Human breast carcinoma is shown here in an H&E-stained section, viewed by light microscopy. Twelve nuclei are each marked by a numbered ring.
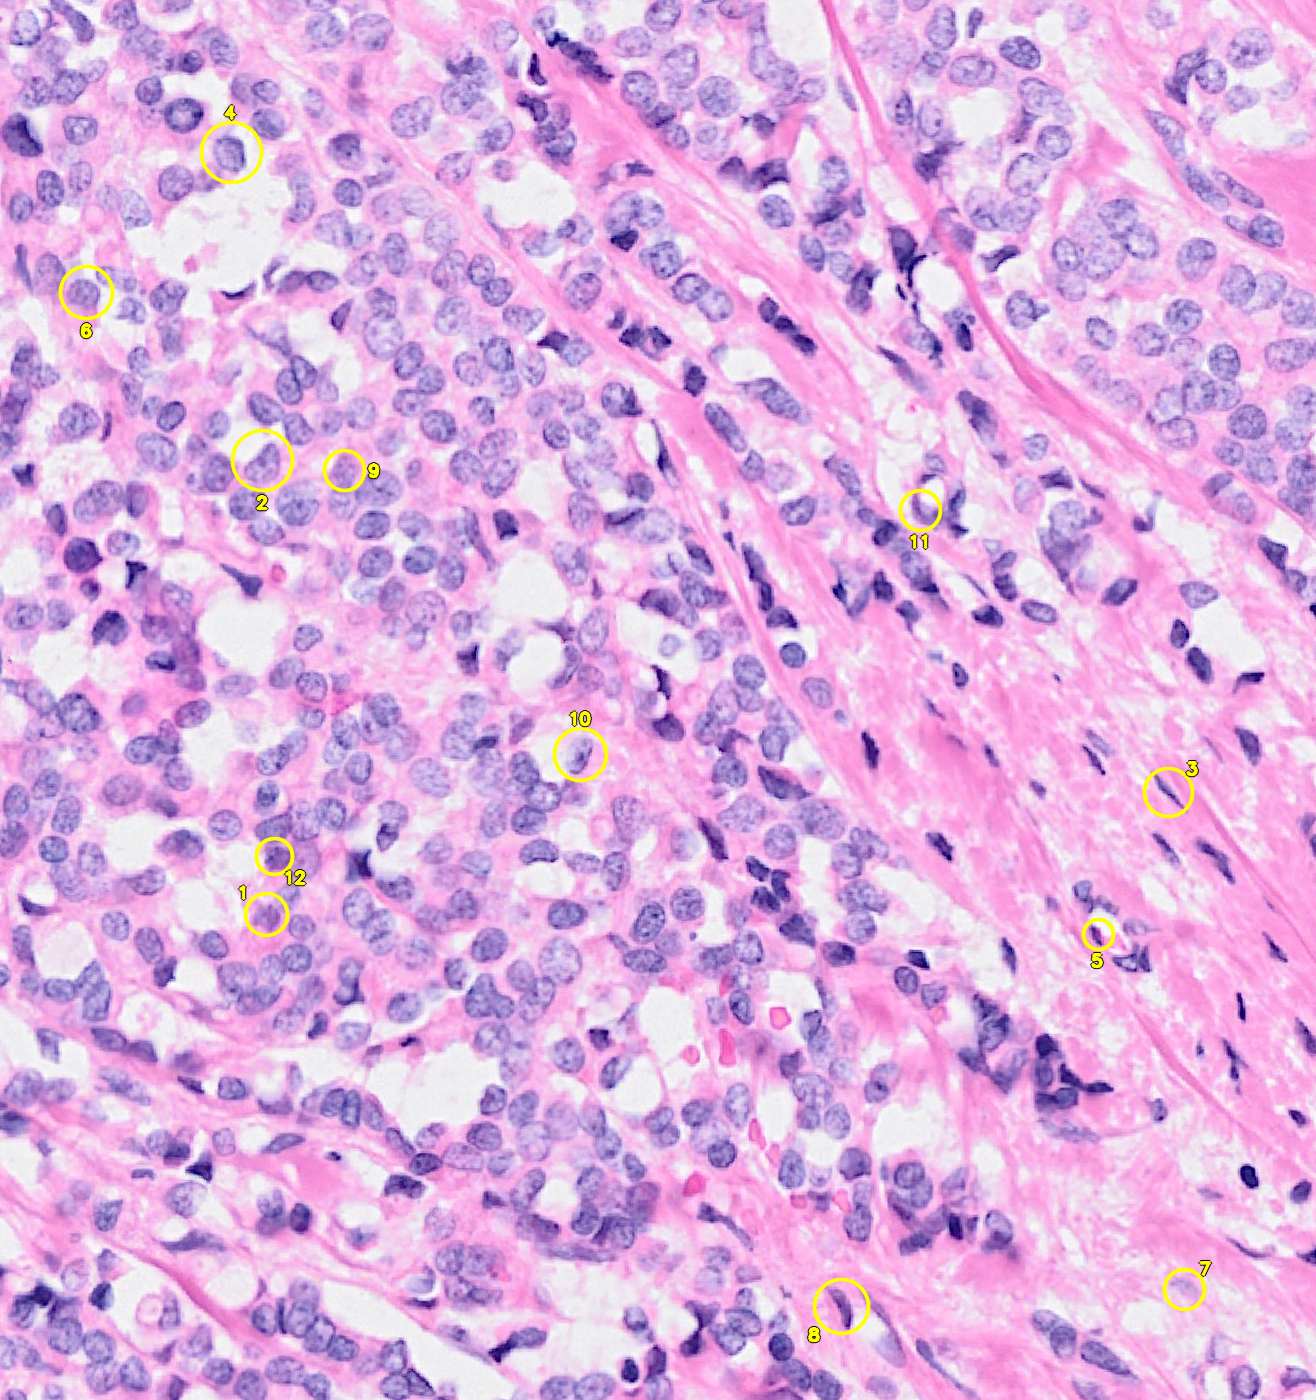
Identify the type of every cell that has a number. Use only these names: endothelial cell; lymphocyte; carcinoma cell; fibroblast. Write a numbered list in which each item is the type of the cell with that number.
1. carcinoma cell
2. carcinoma cell
3. fibroblast
4. carcinoma cell
5. endothelial cell
6. carcinoma cell
7. fibroblast
8. endothelial cell
9. carcinoma cell
10. carcinoma cell
11. endothelial cell
12. carcinoma cell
